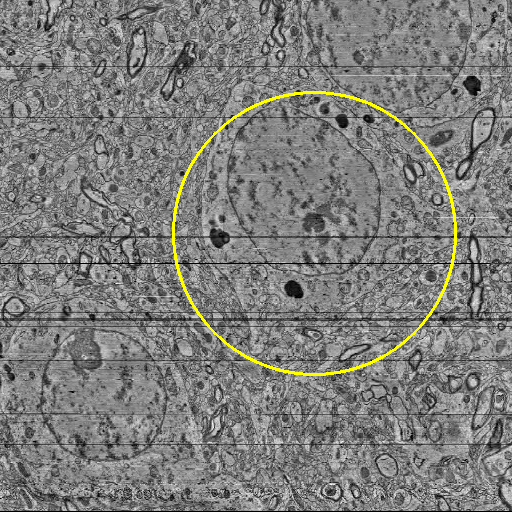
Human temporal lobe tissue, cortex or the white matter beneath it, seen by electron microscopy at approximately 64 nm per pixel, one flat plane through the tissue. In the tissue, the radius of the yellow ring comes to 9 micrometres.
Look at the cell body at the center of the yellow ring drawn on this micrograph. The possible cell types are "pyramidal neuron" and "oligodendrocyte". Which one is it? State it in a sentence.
The cell in the middle of the ring is a pyramidal neuron.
